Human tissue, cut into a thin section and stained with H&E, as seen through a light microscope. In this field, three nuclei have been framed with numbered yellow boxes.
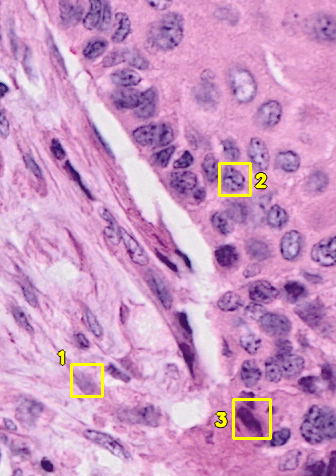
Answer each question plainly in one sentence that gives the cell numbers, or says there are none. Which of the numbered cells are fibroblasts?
The one cell that is a fibroblast is cell 1, and no other.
